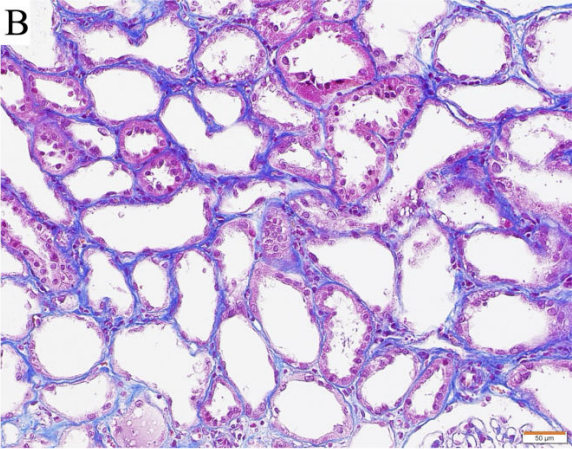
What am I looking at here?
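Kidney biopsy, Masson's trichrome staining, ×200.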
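This is renal cortex with closely packed tubules cut in cross and oblique section. Many tubules have wide, clear lumens lined by a markedly flattened epithelium, a thin pink band of cytoplasm with small flat nuclei. A few tubules keep a taller lining with more abundant pink-purple cytoplasm and rounded nuclei. Between the tubules runs blue-stained interstitial tissue that surrounds each tubule.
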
